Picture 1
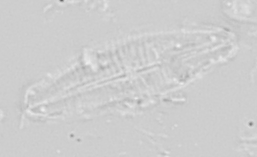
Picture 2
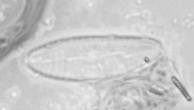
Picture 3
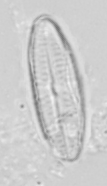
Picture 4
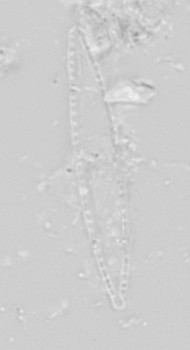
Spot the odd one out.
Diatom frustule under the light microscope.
Picture 4 (Nitzschia among Achnanthidium).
